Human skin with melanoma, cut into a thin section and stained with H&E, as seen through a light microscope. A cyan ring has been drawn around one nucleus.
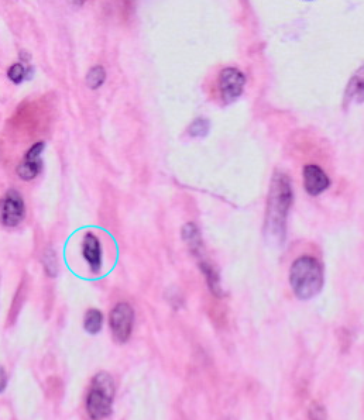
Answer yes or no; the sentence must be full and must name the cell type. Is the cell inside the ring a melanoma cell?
No. Look again: the cell inside the ring is a lymphocyte, not a melanoma cell.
